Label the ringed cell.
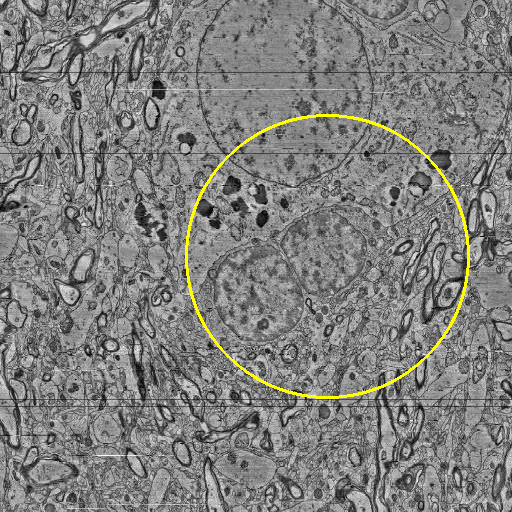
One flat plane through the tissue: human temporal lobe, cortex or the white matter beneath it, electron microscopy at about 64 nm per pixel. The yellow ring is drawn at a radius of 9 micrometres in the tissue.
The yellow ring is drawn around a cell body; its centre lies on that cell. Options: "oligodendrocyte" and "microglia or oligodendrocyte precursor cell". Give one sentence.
The ringed cell is an oligodendrocyte.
